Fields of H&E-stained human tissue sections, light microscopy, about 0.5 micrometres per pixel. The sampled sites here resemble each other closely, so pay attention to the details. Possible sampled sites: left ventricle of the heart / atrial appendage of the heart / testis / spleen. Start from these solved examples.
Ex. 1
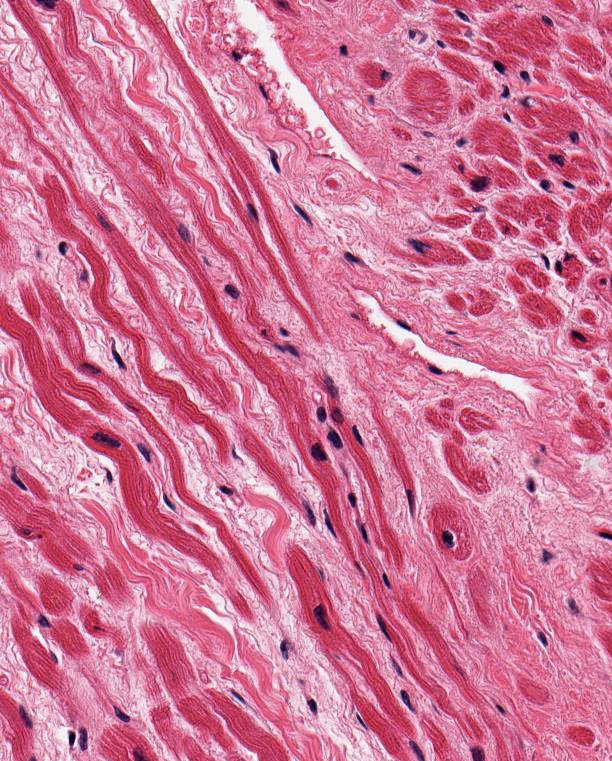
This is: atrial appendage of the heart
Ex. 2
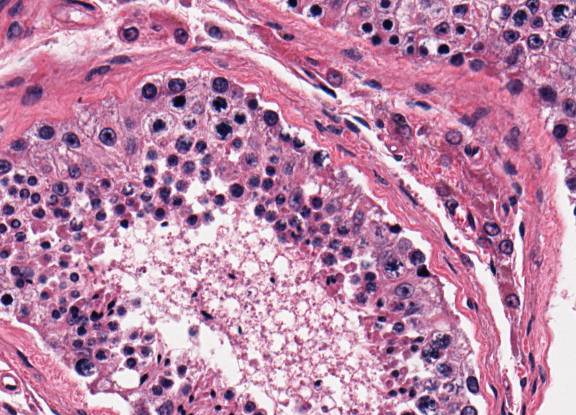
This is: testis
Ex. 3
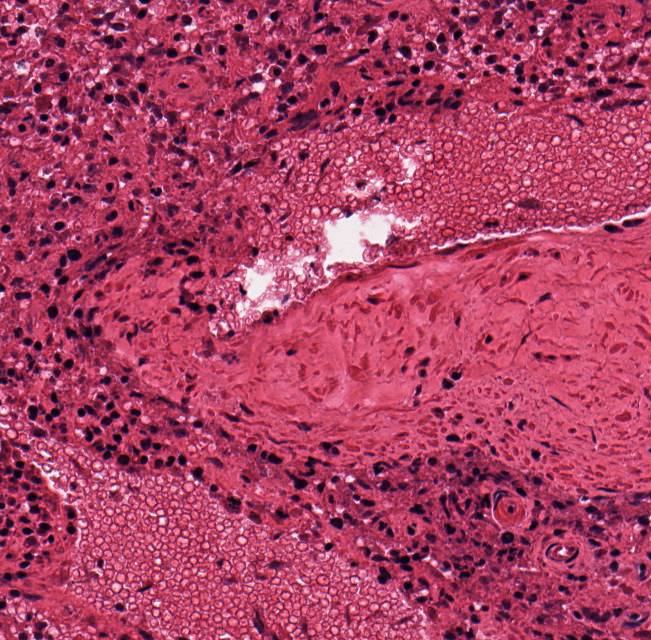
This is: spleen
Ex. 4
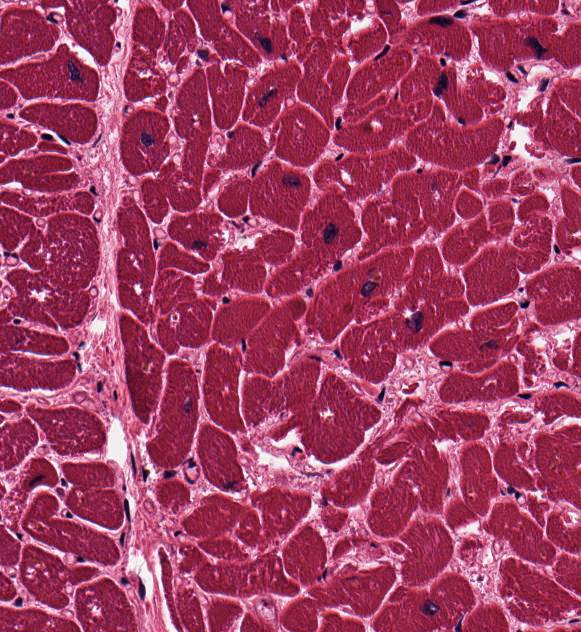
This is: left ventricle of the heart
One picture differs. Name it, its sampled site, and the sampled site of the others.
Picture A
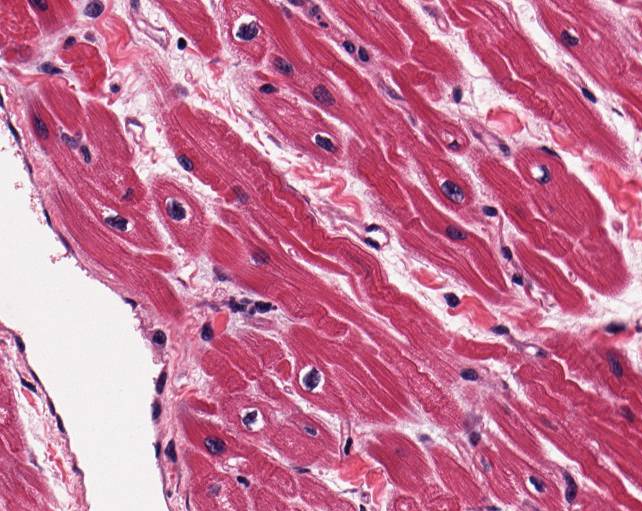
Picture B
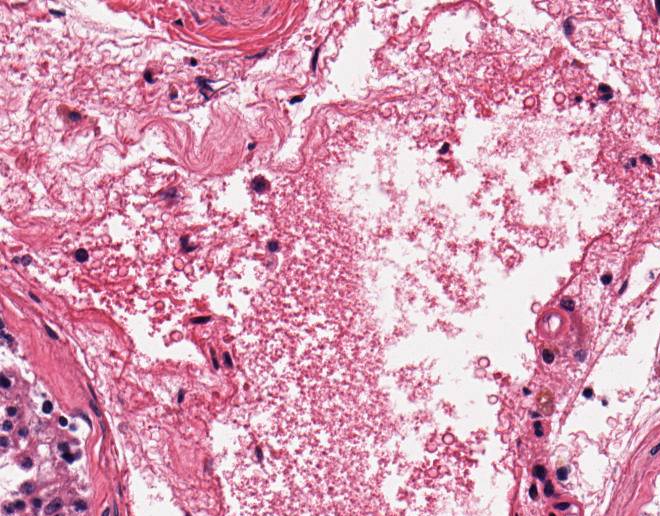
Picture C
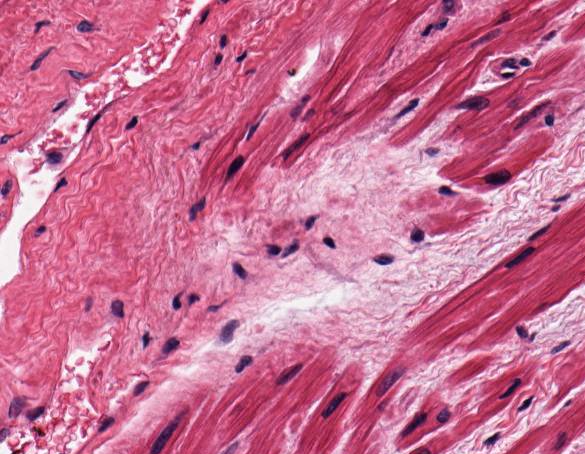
Picture B: testis. All others: atrial appendage of the heart.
